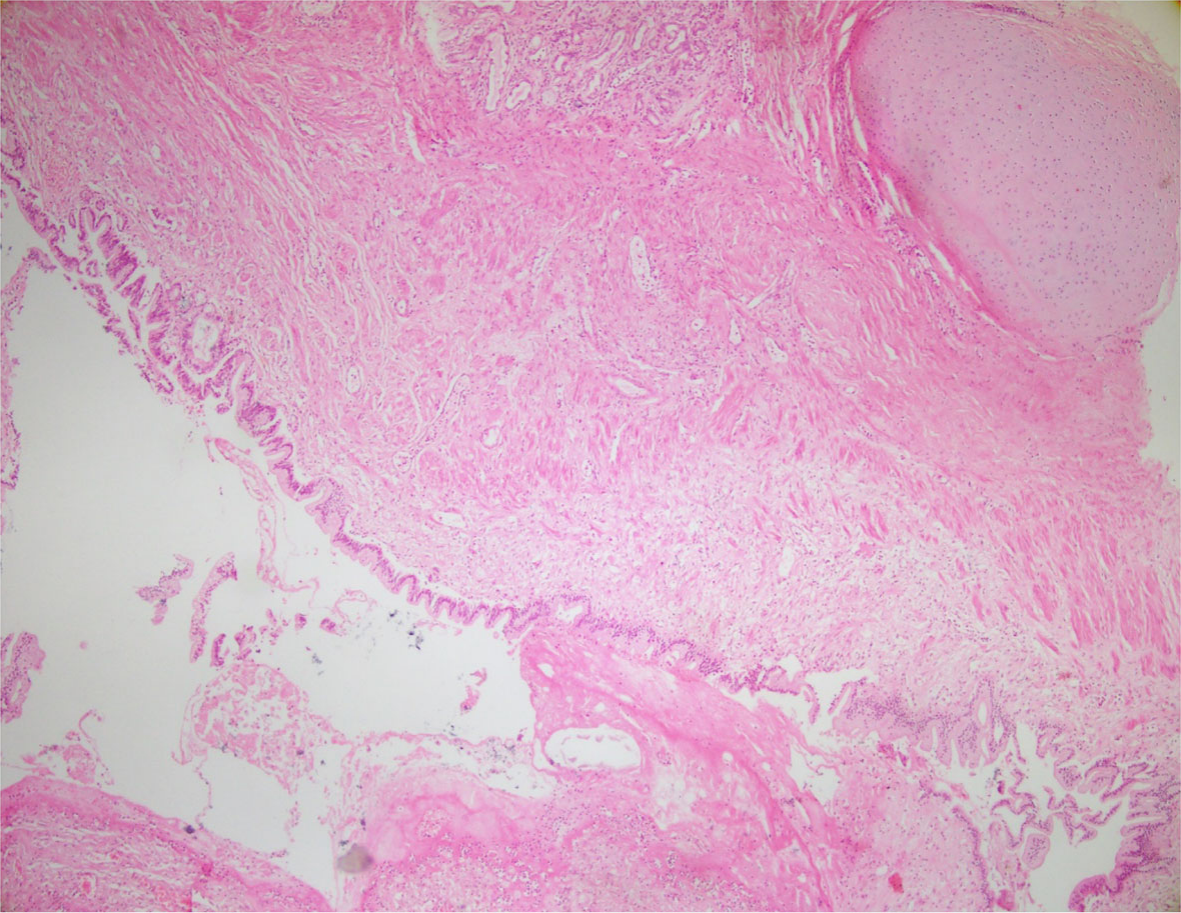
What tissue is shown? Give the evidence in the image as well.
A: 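A rounded, well-demarcated nodule of glassy pale pink matrix sits at the upper right. Small cells lie scattered singly in the matrix of the nodule. The answer: mature cartilage.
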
